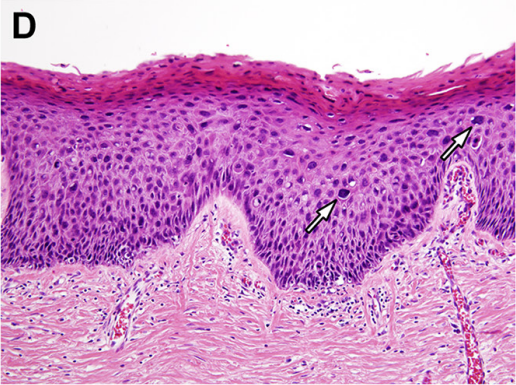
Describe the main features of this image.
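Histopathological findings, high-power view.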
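This is squamous epithelium over a fibrous stroma, in which crowded cells with dark, enlarged nuclei occupy most of the thickness, leaving only a thin band of flatter, pinker cells at the surface. The nuclei vary in size and shape, and a few stand out as especially large and dark. The lower edge of the epithelium forms broad downward pegs but stays sharply separated from the underlying stroma.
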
